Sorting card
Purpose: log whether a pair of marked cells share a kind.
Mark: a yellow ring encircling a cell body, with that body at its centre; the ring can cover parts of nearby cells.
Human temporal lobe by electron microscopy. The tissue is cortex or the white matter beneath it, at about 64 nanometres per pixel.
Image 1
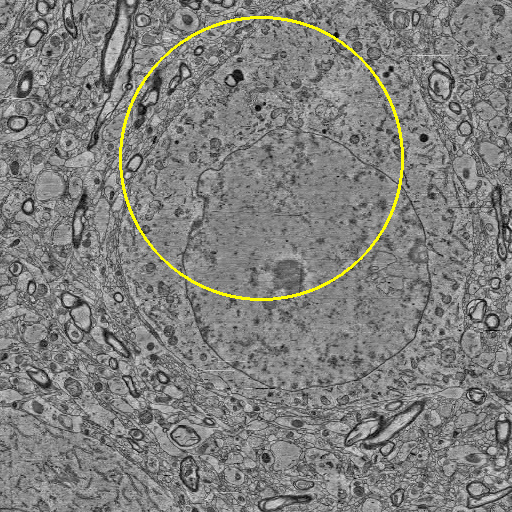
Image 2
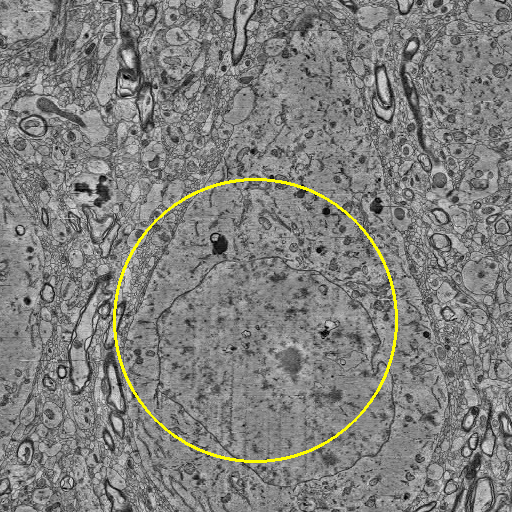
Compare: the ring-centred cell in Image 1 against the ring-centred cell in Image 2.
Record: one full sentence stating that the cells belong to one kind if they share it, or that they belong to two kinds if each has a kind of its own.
Across Images 1 and 2, the two ring-centred cells belong to one kind.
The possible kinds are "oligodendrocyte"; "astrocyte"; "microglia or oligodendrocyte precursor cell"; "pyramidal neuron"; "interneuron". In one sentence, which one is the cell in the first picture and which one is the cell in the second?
Each of the two cells is a pyramidal neuron.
